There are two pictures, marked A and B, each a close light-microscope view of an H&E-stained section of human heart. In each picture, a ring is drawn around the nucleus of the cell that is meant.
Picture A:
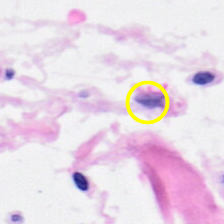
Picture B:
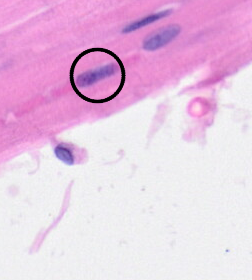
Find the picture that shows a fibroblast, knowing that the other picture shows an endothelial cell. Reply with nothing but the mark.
A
